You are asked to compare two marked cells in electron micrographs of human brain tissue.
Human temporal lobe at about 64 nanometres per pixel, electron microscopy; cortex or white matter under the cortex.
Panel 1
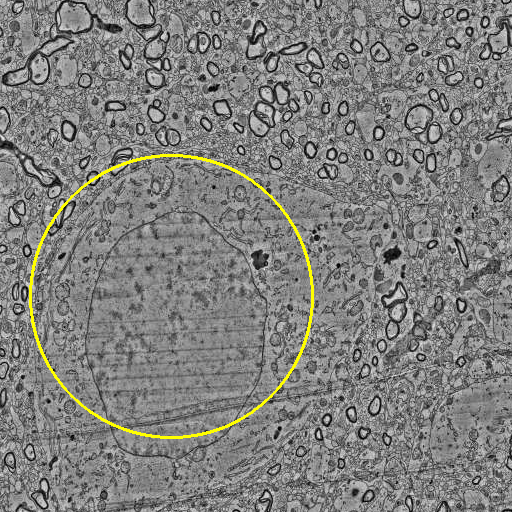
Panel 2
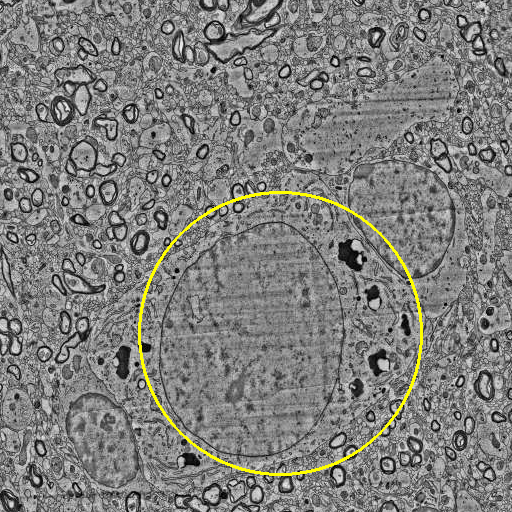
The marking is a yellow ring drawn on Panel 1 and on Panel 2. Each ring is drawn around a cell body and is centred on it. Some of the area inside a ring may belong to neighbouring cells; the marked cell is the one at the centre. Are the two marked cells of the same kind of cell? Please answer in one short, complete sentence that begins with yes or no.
Yes, the two marked cells are of the same kind.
